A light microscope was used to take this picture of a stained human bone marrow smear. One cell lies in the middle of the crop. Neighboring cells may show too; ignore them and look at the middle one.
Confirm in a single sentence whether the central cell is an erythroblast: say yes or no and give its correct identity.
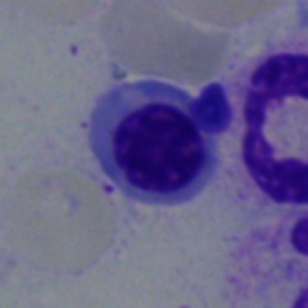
Yes, the cell in the middle has the identity of an erythroblast.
